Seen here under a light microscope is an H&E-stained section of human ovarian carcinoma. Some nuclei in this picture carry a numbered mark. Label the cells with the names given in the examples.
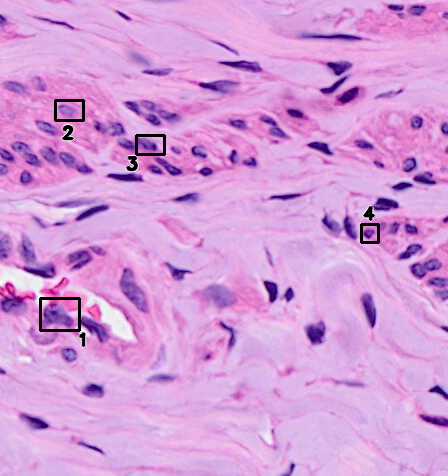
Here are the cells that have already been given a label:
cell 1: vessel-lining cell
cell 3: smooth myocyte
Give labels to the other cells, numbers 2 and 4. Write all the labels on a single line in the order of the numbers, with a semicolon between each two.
smooth myocyte; smooth myocyte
